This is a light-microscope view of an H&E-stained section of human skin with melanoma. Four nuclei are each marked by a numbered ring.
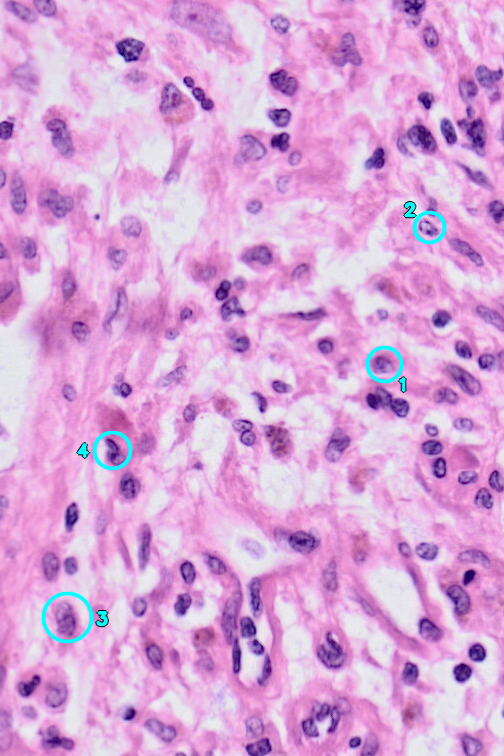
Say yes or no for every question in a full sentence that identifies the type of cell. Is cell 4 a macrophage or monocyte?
Yes, the numbered nucleus 4 is that of a macrophage or monocyte.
